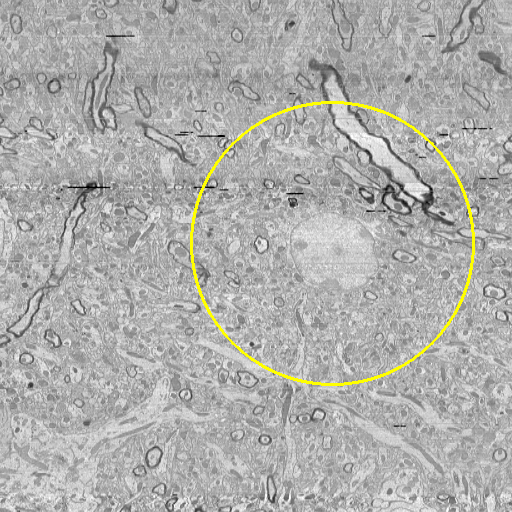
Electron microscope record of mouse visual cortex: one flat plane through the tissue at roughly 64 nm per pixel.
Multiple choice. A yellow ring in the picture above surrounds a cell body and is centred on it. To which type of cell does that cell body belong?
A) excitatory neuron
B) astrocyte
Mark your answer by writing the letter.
B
